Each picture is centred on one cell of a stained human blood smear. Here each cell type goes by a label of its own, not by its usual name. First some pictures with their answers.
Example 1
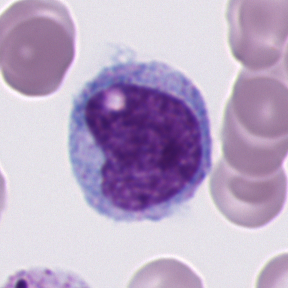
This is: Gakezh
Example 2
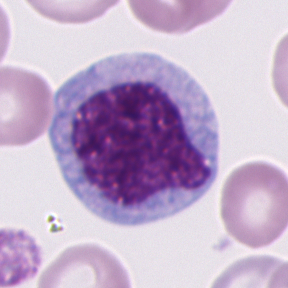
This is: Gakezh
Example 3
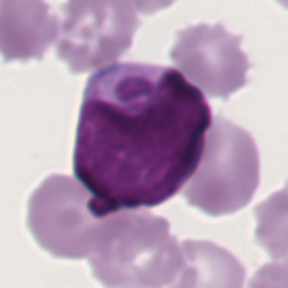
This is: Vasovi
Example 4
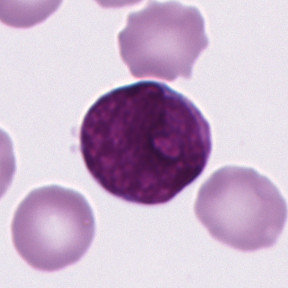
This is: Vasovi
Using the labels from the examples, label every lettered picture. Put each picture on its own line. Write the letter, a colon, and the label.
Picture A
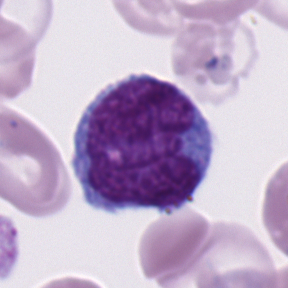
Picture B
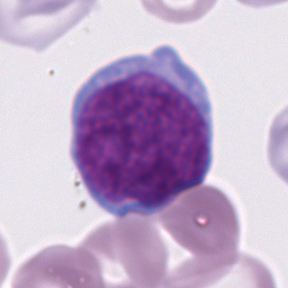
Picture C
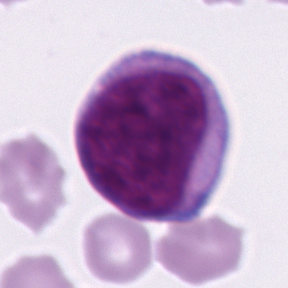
A: Gakezh
B: Vasovi
C: Vasovi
